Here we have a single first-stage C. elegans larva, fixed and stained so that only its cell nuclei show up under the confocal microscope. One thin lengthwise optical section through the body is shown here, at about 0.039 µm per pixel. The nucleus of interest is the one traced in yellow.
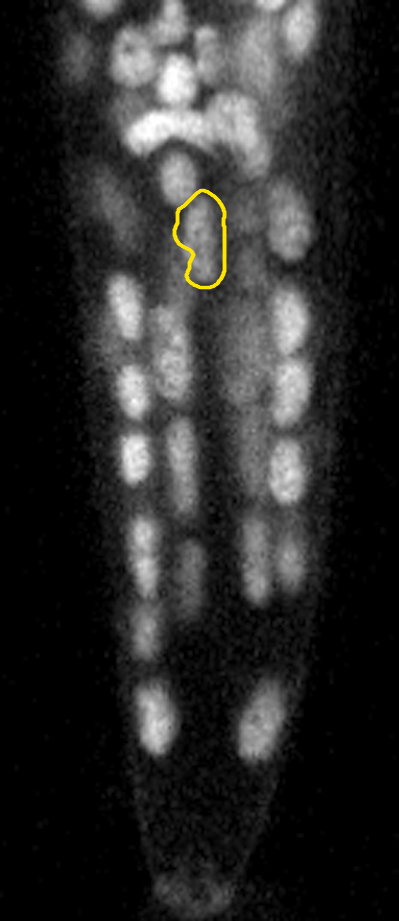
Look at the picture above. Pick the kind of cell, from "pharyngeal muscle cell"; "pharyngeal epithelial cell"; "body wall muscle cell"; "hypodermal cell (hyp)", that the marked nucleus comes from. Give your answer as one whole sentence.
This nucleus is from a pharyngeal muscle cell.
